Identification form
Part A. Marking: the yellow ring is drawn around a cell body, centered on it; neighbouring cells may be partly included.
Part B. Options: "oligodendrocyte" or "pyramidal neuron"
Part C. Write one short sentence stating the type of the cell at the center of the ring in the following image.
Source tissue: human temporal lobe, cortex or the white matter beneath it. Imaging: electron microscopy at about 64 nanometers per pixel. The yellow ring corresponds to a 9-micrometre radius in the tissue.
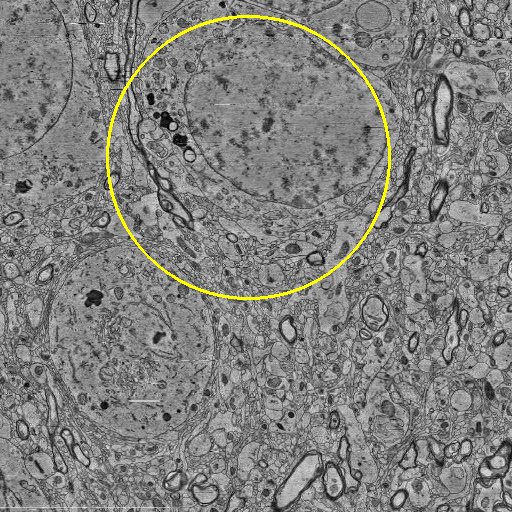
The center of the ring holds a pyramidal neuron.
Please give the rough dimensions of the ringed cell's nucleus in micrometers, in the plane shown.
Approximately 14 x 11 micrometres in this plane.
